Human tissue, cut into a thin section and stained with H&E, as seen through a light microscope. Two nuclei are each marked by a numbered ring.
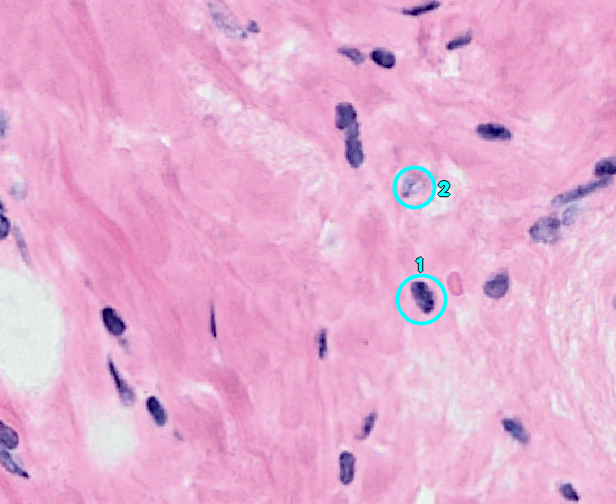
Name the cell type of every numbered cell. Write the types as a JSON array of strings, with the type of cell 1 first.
["lymphocyte", "fibroblast"]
